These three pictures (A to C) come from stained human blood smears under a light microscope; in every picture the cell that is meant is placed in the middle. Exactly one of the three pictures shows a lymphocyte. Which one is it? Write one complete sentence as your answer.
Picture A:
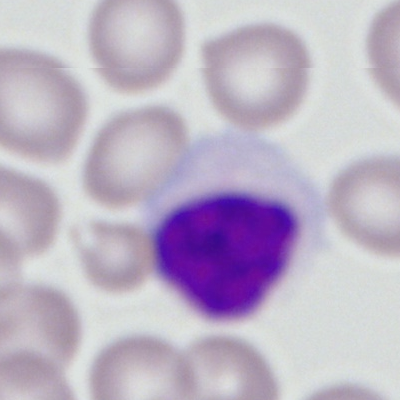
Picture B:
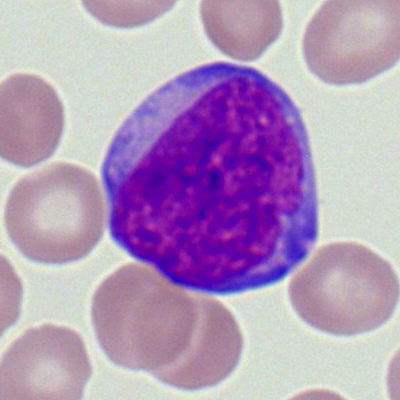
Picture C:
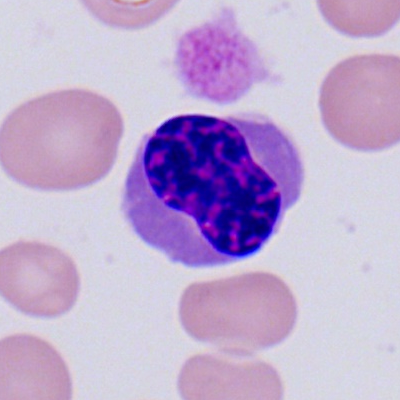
It is picture A that shows the lymphocyte.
